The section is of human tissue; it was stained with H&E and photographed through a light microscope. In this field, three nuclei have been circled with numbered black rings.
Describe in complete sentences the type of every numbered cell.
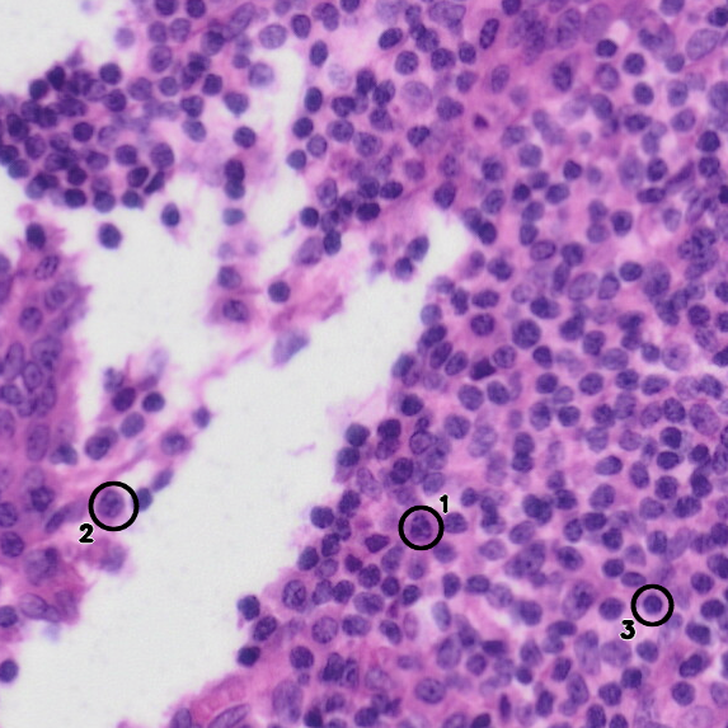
Cells 1 and 2 are plasma cells. Cell 3 is a small lymphocyte.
